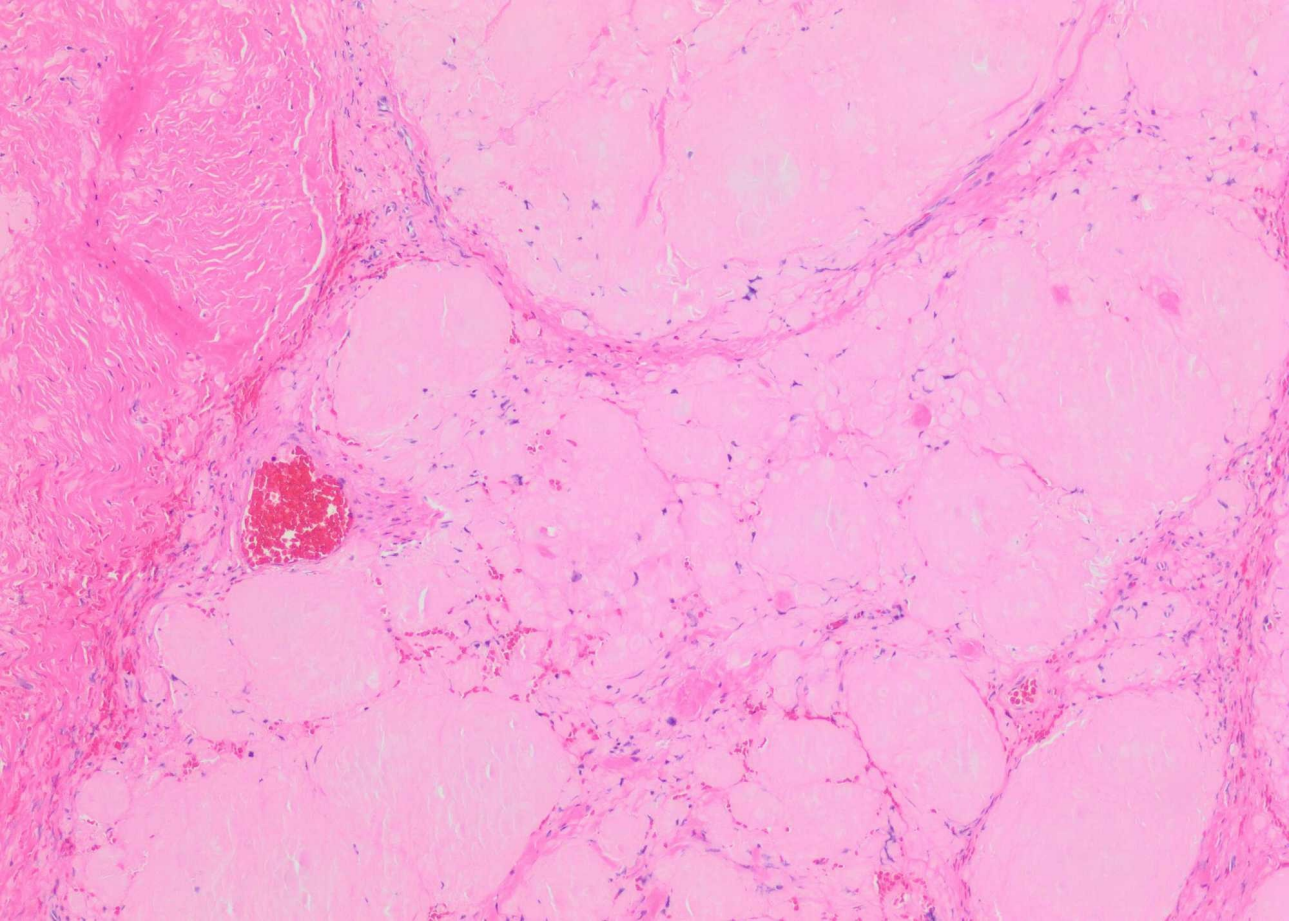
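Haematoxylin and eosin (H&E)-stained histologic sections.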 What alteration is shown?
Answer: Abundant amorphous eosinophilic material.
